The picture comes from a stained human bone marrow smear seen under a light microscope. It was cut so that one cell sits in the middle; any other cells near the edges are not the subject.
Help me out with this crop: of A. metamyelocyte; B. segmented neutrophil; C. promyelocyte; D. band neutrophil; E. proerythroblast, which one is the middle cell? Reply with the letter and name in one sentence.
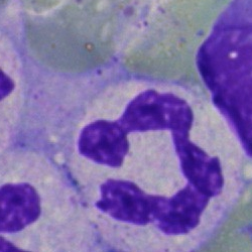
With the cell in the middle being a segmented neutrophil, option B is the correct choice.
